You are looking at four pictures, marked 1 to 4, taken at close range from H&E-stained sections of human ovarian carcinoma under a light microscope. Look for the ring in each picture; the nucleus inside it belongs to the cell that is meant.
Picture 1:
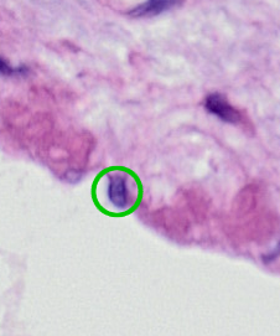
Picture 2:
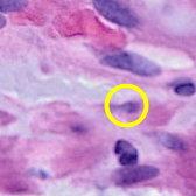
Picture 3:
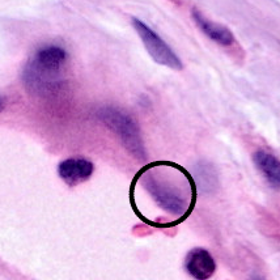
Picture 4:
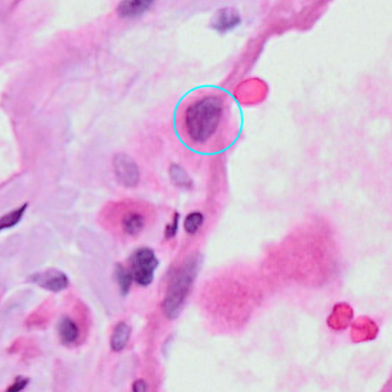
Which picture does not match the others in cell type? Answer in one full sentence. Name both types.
Unlike the rest, which show endothelial cells, picture 2 shows a smooth muscle cell.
